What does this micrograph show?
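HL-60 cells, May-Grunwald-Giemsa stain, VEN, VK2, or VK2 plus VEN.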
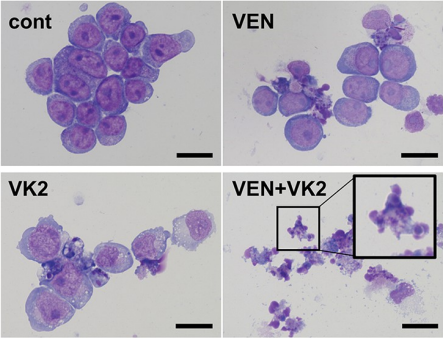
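These are cultured cells spread on a slide and stained so that nuclei are purple and cytoplasm a pale blue. In the top left field the cells are round and closely packed, each with a large round to oval nucleus of fine lilac chromatin and only a thin rim of cytoplasm, so the nucleus fills most of the cell. In the other fields some cells are shrunken and lie among small dark purple fragments. In the bottom right field few intact cells remain; most are broken into clumps of dense, dark, rounded pieces, seen closely in the enlarged box, the look of cells undergoing apoptosis.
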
